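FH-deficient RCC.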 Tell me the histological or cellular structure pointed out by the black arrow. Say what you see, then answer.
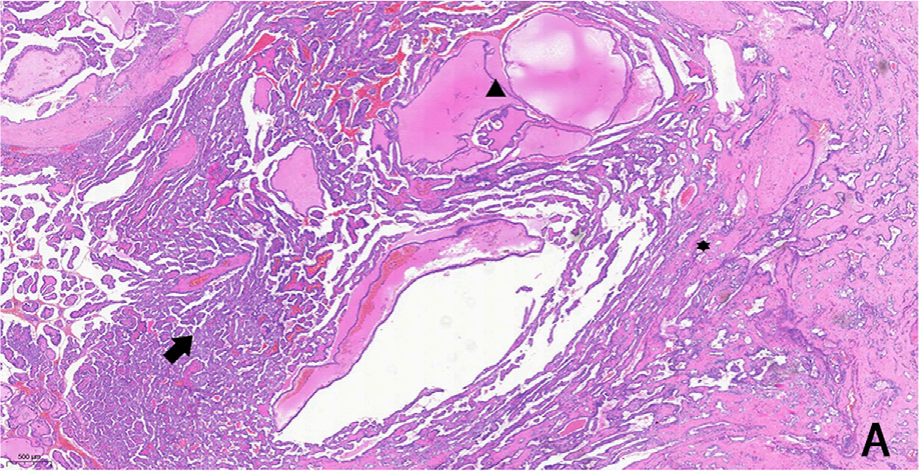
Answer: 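Papillary structures. The arrow points at a dense field of branching fronds with thin cores lined by cells. Many finger-like projections fill the left part of the section.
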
